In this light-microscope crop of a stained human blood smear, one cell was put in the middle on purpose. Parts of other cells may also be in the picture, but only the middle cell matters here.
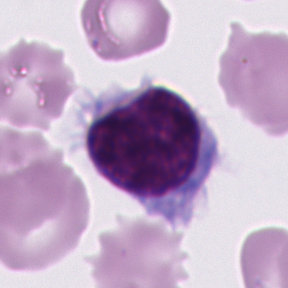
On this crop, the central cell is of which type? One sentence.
Classified as a hairy cell is the cell in the middle of this crop.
